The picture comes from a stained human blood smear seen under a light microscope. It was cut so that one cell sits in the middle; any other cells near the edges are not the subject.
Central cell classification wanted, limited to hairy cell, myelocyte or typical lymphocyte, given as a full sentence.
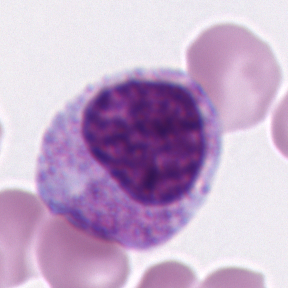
In the middle of this smear crop, the cell is a myelocyte.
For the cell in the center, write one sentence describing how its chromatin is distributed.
If you check the nucleus, you will find the chromatin coarsely clumped.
